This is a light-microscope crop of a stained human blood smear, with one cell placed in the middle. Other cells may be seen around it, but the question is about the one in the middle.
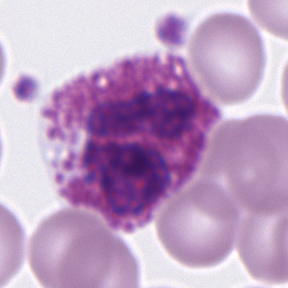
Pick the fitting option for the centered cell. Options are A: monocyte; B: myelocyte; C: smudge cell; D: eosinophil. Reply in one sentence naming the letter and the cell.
This one is option D, since the cell at the center is an eosinophil.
